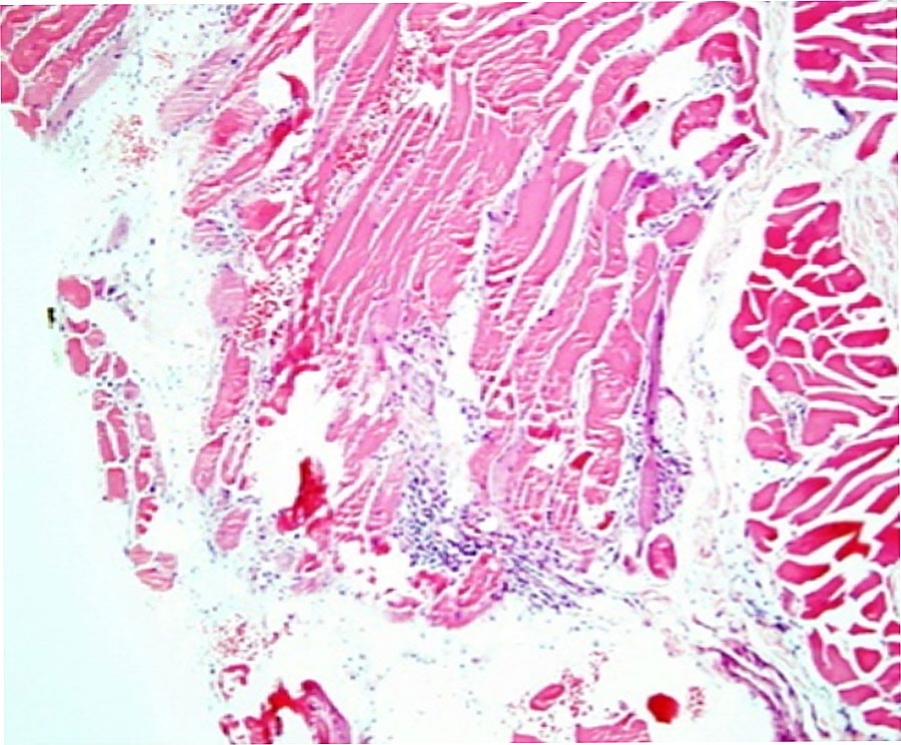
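This is skeletal muscle. Its fibers are deep pink, seen lengthwise in the middle and in cross-section at the right, where they vary clearly in size. Between the fibers, in loose pale tissue, lies a dense collection of small dark purple round nuclei. Around it the fibers look broken up and uneven, and scattered red blood cells lie in the gaps.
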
